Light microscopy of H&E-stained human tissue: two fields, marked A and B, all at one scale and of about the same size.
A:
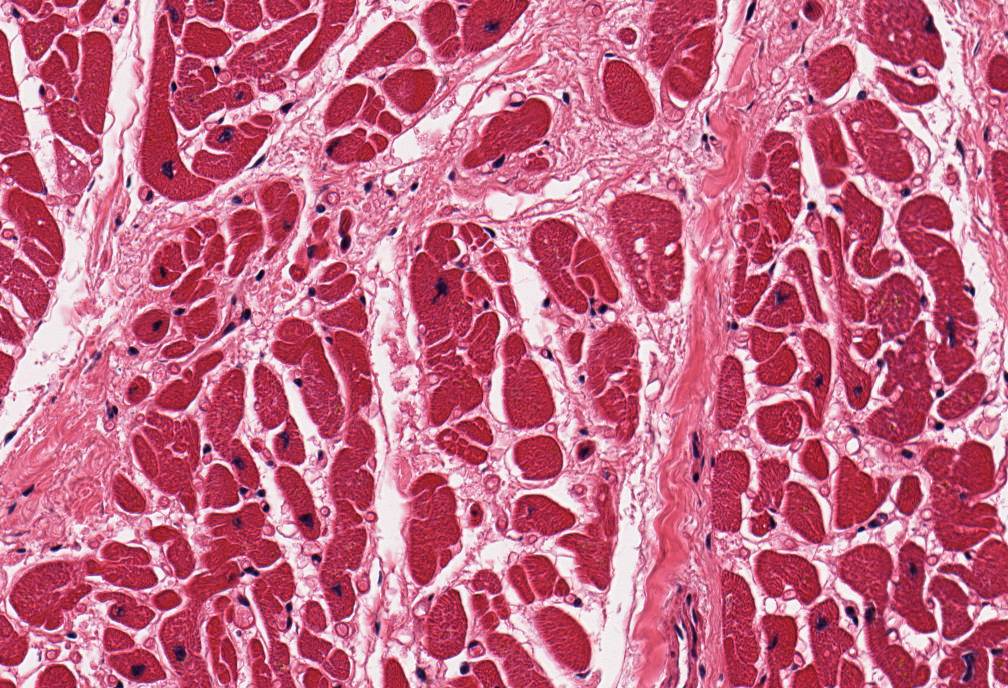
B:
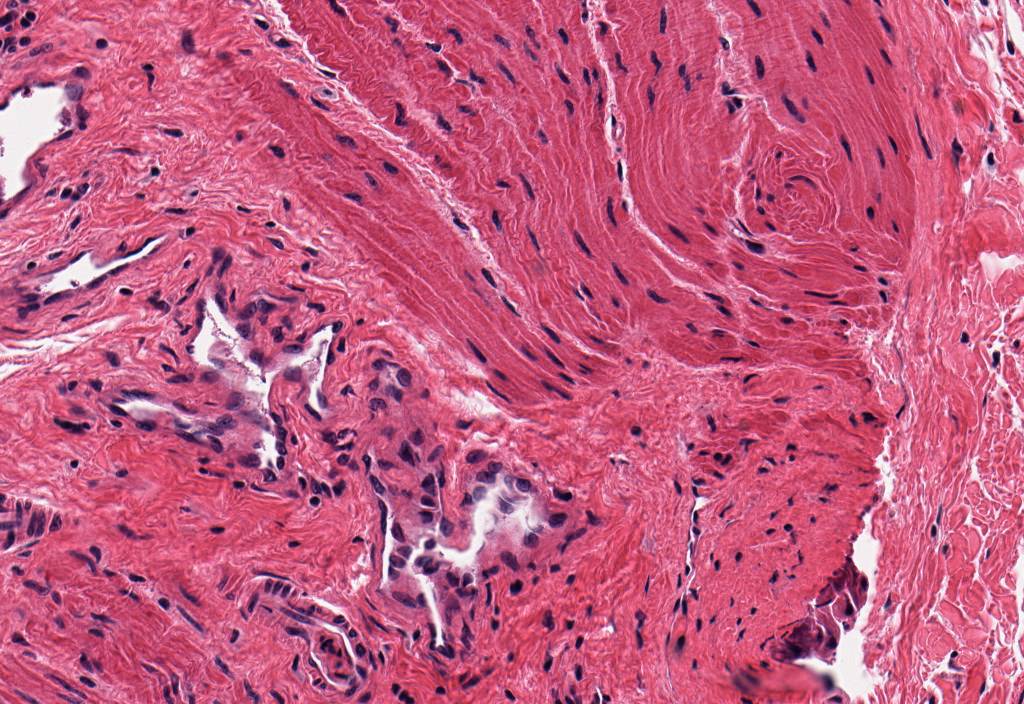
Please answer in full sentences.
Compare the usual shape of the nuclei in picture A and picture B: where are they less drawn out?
It is picture A whose nuclei are the rounder.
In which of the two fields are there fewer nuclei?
The smaller number of nuclei is in picture A.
